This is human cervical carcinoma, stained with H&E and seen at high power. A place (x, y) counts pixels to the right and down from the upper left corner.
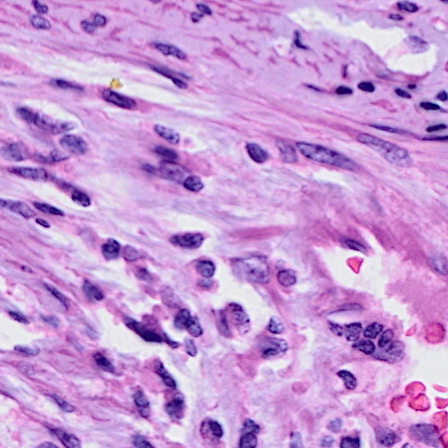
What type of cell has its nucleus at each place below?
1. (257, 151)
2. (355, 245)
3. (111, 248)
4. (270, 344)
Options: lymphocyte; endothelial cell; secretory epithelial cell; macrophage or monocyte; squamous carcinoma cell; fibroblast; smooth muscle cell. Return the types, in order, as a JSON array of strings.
["lymphocyte", "endothelial cell", "lymphocyte", "macrophage or monocyte"]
